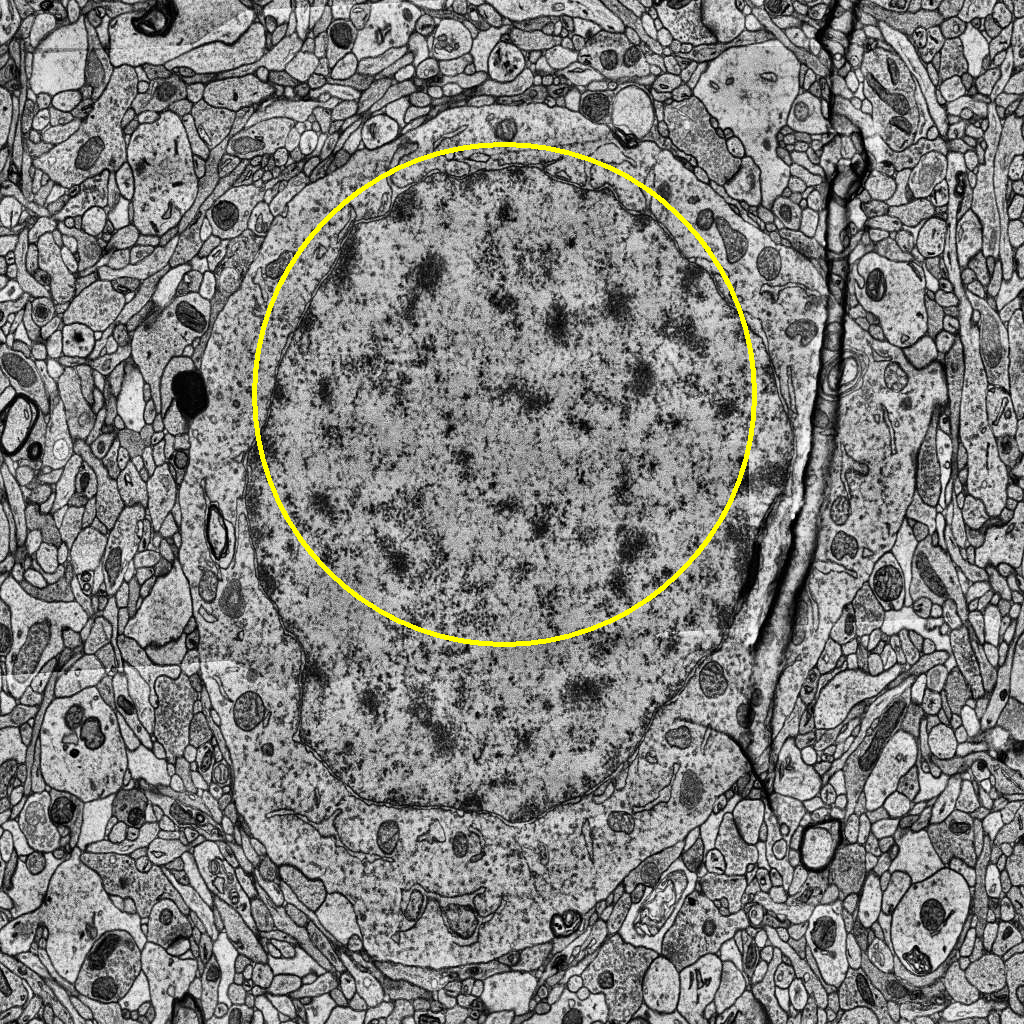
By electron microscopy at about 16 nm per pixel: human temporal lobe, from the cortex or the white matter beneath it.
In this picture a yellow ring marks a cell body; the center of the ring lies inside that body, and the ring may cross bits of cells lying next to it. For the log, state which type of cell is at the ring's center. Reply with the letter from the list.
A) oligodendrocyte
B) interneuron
B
